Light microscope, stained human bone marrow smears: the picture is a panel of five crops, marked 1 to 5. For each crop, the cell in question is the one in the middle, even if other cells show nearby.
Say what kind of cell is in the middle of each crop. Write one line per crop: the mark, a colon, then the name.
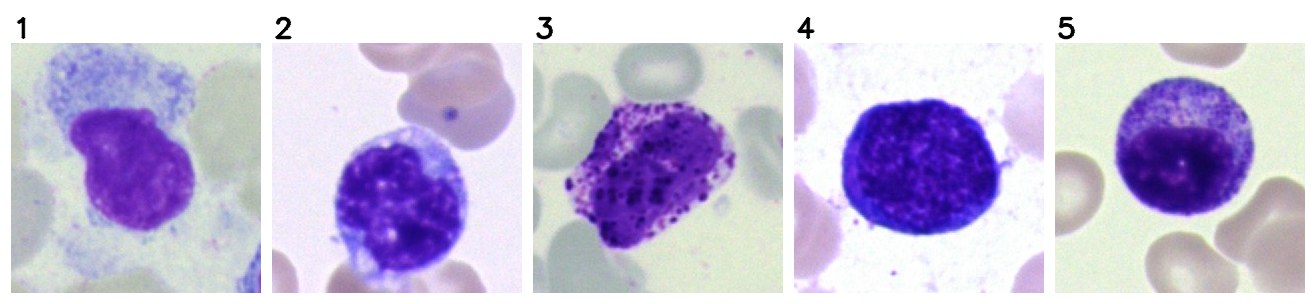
1: hairy cell
2: monocyte
3: basophil
4: promyelocyte
5: myelocyte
